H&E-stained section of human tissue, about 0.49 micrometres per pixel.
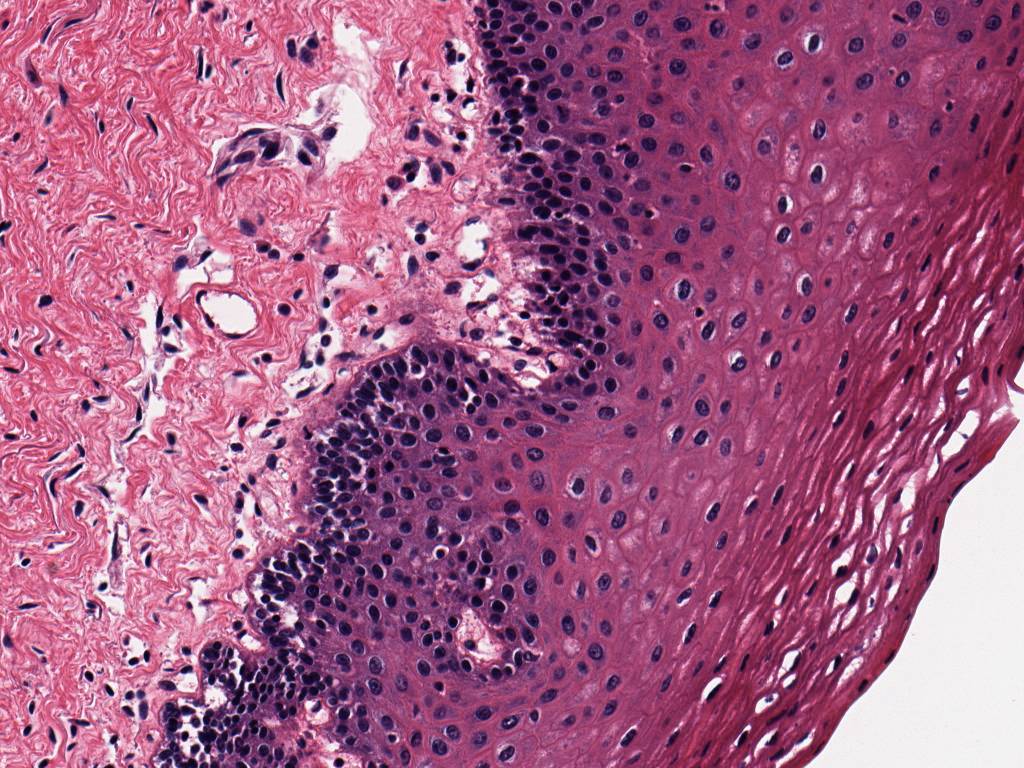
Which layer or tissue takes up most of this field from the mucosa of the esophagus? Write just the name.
stratified squamous nonkeratinized epithelium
